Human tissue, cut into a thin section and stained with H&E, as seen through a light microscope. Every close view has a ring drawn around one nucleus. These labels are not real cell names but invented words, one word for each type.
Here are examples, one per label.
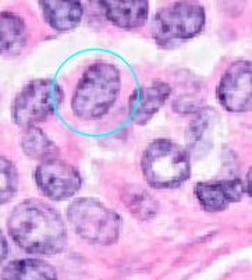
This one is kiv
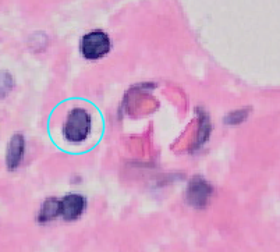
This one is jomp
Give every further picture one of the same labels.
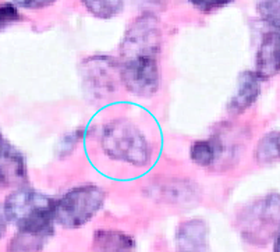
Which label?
kiv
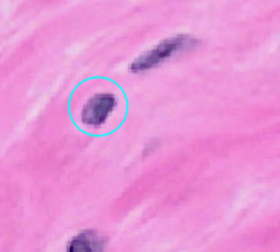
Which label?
jomp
